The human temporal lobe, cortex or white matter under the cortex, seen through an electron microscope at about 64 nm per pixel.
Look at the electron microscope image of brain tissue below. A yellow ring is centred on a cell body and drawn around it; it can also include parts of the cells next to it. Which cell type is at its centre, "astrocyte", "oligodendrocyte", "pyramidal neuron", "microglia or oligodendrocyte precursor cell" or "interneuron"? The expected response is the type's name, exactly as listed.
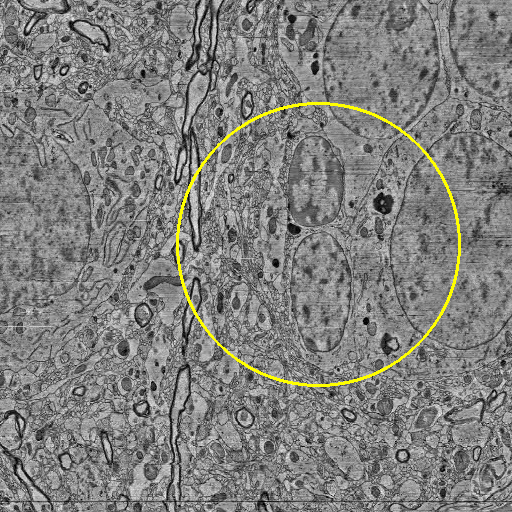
microglia or oligodendrocyte precursor cell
